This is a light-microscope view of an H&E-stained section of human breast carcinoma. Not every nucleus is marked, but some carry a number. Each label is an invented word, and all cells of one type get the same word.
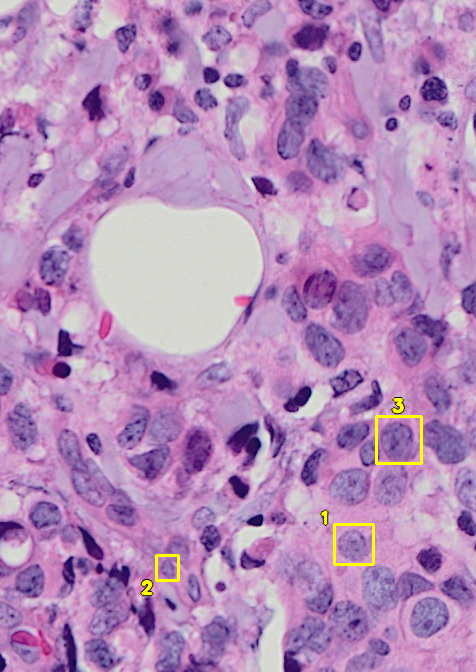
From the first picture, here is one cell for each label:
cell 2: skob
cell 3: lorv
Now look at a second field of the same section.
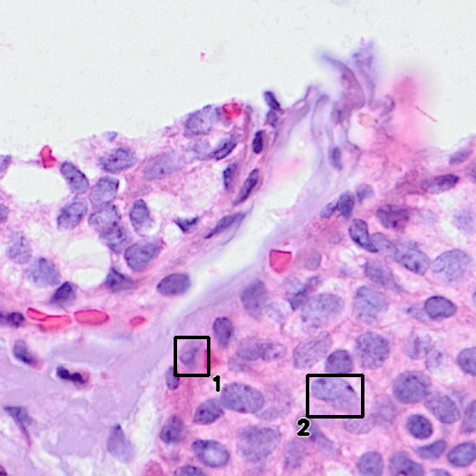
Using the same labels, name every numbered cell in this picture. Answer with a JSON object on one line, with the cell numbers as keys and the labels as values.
{"1": "skob", "2": "lorv"}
